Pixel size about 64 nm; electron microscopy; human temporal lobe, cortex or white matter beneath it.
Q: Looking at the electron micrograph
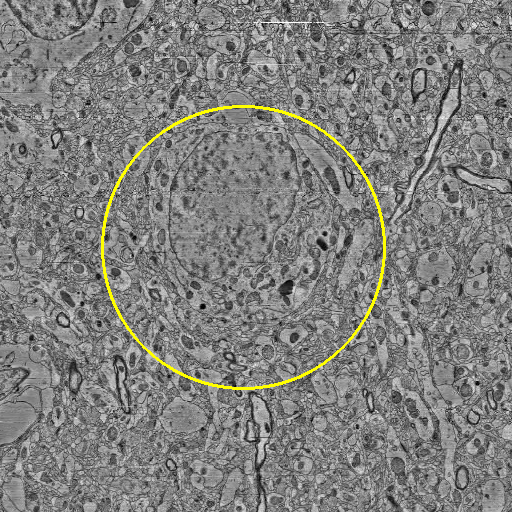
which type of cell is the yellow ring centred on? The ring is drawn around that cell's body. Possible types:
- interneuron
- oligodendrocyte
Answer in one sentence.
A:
The yellow ring is centred on an interneuron.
